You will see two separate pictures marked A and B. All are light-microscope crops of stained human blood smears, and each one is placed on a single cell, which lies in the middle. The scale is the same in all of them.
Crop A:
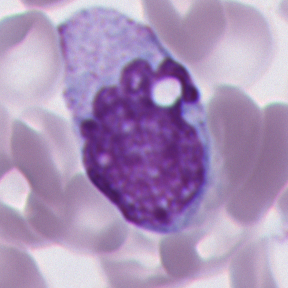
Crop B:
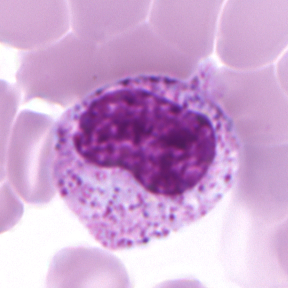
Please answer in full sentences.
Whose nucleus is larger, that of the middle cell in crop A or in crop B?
Crop A shows the larger nucleus; it covers about 1.5 times the area of the nucleus in crop B.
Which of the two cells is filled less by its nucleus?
In crop B the nucleus takes up the smaller part of its cell.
